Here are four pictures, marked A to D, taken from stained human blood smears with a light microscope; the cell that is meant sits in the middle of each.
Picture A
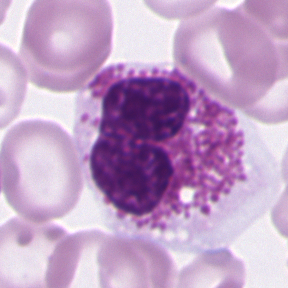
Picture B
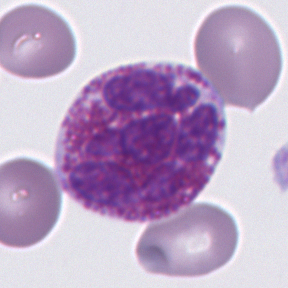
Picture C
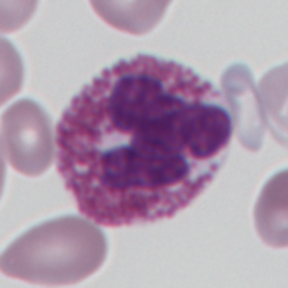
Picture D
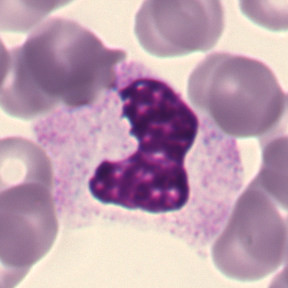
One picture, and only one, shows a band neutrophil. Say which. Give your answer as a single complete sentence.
It is picture D that shows the band neutrophil.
